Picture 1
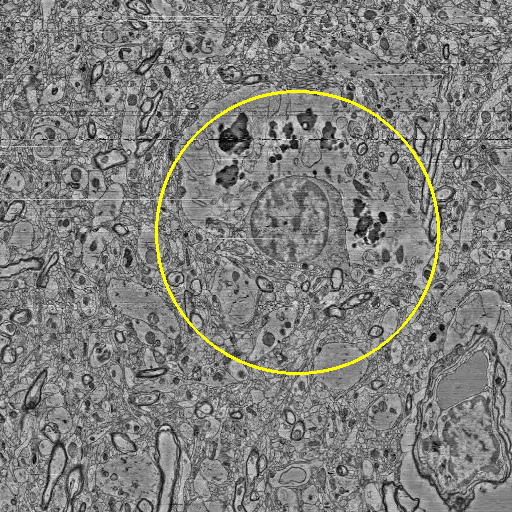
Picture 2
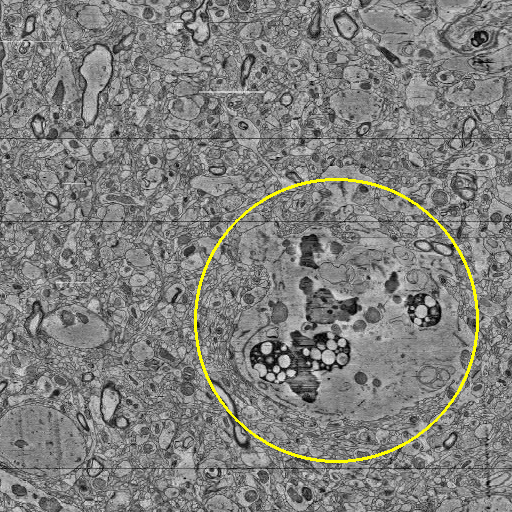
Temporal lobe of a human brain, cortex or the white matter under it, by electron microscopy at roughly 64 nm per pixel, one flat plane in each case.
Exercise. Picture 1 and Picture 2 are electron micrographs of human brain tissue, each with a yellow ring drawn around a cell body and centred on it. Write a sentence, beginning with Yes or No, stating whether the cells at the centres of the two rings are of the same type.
No, the cells at the centres of the rings are of two types.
